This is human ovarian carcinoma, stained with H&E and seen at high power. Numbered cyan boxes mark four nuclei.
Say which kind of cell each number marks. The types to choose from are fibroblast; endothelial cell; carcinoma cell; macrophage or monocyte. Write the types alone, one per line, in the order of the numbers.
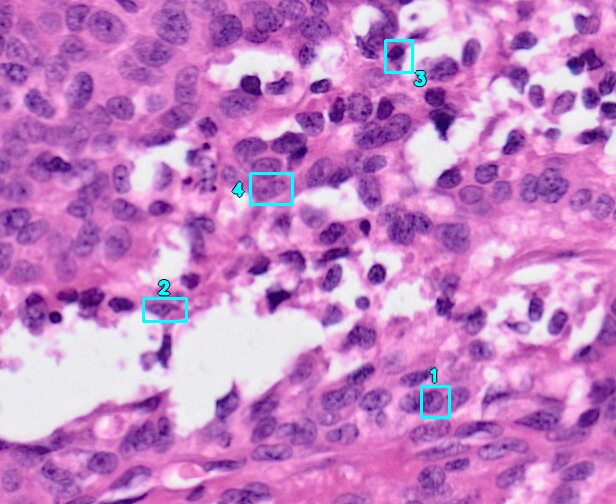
carcinoma cell
macrophage or monocyte
carcinoma cell
carcinoma cell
